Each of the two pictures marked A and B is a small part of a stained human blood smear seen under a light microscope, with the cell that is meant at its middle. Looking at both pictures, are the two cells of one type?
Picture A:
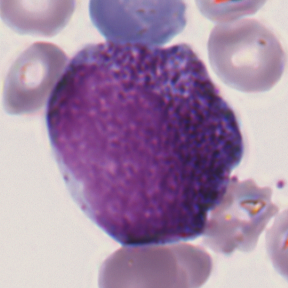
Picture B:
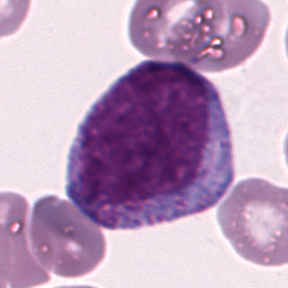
yes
